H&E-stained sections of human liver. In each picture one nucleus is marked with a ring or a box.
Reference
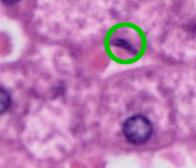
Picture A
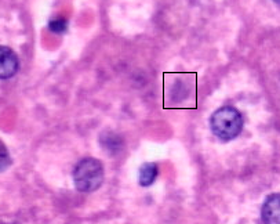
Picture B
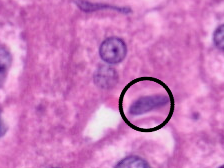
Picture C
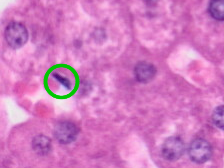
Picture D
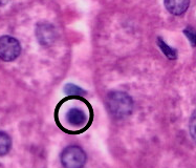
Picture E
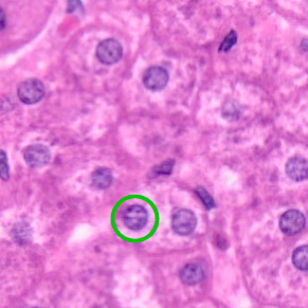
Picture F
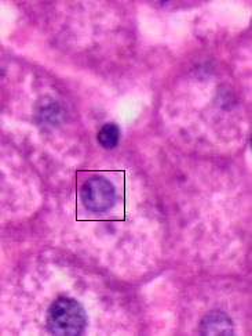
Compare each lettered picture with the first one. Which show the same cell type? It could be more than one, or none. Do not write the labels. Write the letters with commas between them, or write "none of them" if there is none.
C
